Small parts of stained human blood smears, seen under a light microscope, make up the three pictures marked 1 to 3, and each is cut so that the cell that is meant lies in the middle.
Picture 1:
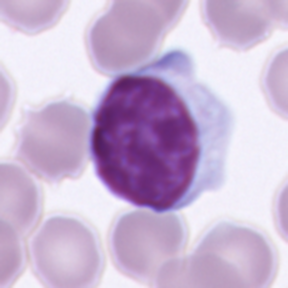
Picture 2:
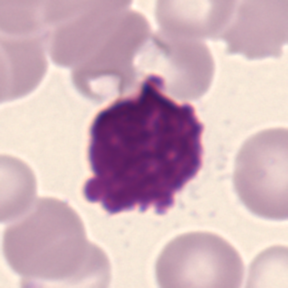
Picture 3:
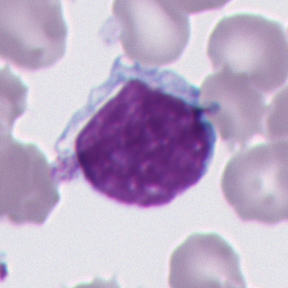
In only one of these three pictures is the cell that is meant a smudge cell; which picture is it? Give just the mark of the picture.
2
